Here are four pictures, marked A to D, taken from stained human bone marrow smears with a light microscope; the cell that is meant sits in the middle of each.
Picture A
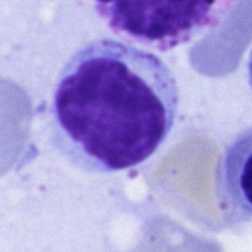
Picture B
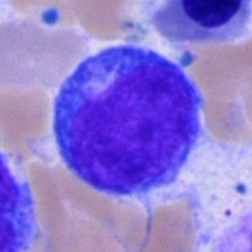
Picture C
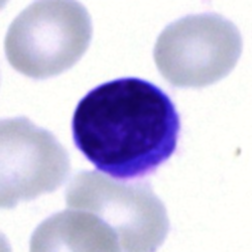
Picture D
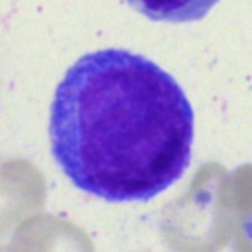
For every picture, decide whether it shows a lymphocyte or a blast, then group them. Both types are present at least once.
A: lymphocyte
B: blast
C: lymphocyte
D: blast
